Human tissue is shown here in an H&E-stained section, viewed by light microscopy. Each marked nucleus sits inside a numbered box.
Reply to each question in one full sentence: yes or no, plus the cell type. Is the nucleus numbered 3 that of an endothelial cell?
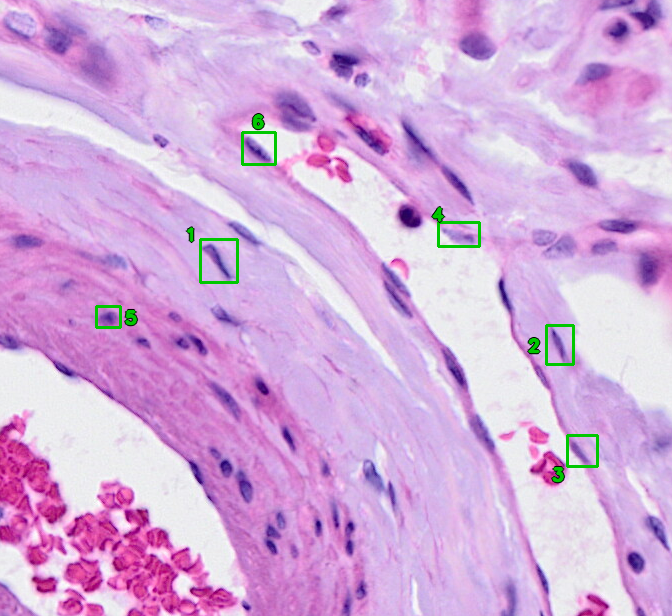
Yes, the nucleus numbered 3 belongs to an endothelial cell.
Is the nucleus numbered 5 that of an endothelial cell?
No, what is marked as number 5 is a smooth muscle cell rather than an endothelial cell.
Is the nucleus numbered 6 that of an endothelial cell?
Yes, to put it simply, cell number 6 is an endothelial cell.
